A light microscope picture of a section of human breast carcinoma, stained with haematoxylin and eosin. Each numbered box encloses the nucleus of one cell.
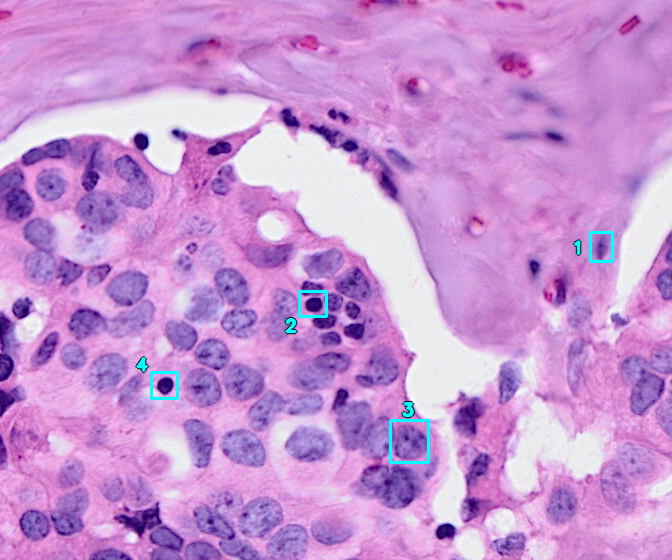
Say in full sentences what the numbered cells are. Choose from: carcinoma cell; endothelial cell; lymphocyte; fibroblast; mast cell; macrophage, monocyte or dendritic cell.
Cell 1 is a fibroblast. Cells 2 and 4 are lymphocytes. Cell 3 is a carcinoma cell.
